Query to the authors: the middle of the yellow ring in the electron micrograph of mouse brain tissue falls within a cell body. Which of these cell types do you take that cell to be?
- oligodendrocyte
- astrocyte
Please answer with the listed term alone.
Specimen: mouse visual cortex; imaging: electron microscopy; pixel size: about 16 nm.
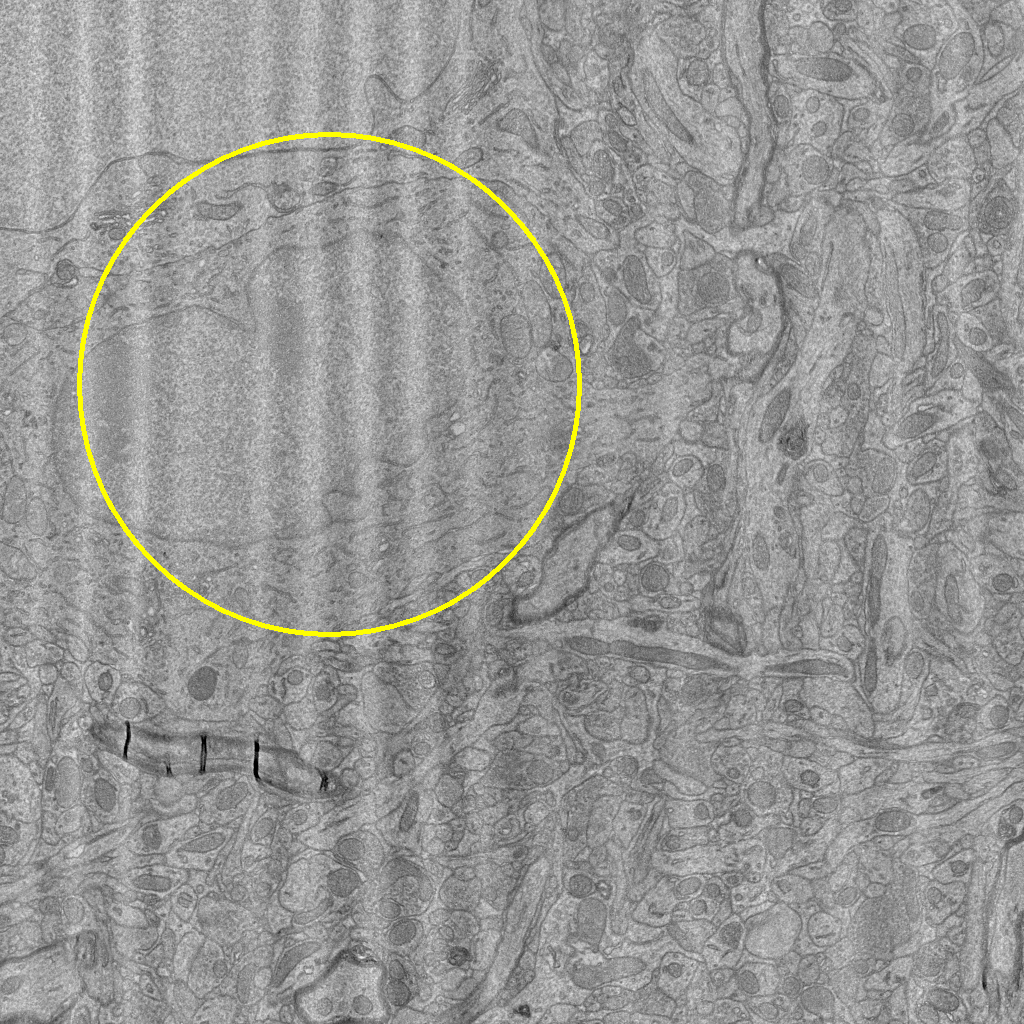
oligodendrocyte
